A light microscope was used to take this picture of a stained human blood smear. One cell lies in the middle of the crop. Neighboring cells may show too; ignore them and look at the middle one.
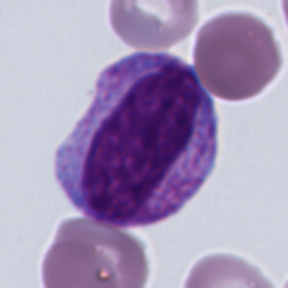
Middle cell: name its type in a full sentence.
The cell positioned in the middle of the field is an atypical promyelocyte.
